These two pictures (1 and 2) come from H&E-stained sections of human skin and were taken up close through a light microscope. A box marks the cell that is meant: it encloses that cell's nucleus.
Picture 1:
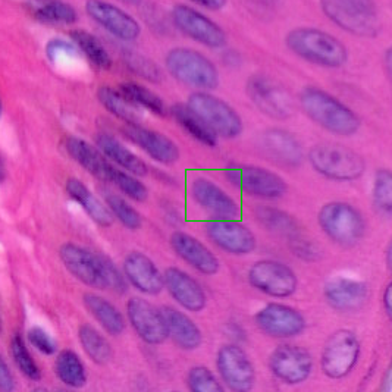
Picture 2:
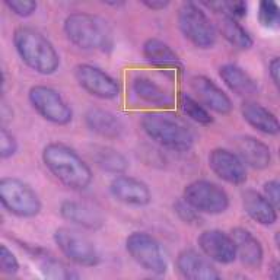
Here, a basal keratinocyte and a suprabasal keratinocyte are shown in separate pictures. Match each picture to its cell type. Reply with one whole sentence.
The cell in picture 1 is a suprabasal keratinocyte, and the one in picture 2 is a basal keratinocyte.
